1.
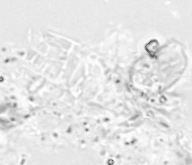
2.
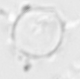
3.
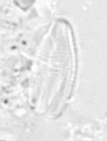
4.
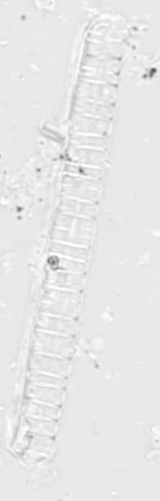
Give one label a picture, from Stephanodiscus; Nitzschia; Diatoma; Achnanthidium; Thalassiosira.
1. Diatoma
2. Thalassiosira
3. Achnanthidium
4. Diatoma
